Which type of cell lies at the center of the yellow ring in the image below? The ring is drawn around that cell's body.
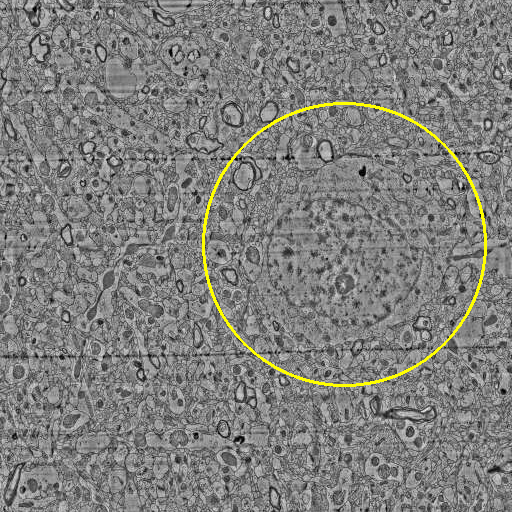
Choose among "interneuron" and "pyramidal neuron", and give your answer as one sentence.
The cell body at the center belongs to an interneuron.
